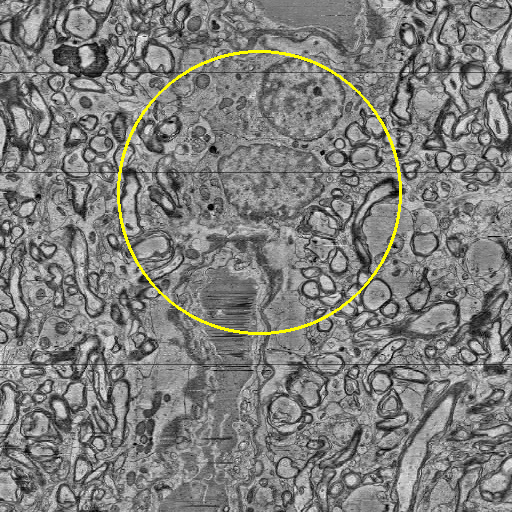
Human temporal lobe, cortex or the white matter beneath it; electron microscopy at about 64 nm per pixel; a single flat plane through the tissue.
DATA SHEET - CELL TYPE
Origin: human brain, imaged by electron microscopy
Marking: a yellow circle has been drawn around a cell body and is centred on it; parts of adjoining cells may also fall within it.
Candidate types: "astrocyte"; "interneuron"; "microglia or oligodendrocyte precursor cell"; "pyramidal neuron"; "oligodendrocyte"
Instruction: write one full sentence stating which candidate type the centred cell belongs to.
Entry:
The cell body at the centre of the yellow ring in this micrograph belongs to an oligodendrocyte.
